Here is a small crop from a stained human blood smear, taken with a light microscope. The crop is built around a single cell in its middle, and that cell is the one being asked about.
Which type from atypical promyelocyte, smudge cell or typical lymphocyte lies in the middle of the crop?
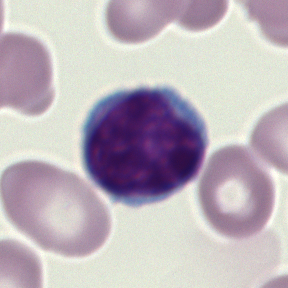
typical lymphocyte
